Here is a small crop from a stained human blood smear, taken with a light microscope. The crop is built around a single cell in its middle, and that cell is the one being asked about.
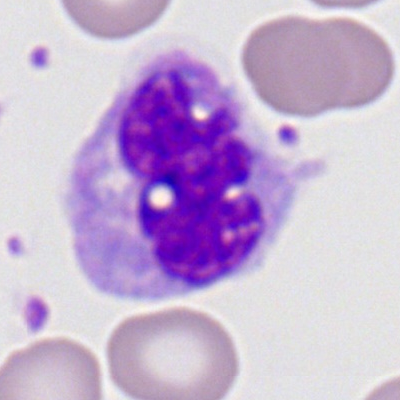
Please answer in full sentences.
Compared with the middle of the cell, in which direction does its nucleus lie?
The nucleus sits off-centre, toward the right.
